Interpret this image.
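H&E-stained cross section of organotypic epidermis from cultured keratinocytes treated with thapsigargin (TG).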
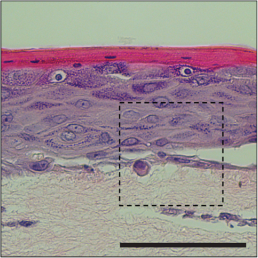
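Toward the bottom, a pale cleft separates the lowest row of cells from the layers above, so the epithelium looks split near its base. Some cells in the upper living layers look rounded with clear halos around their nuclei.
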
